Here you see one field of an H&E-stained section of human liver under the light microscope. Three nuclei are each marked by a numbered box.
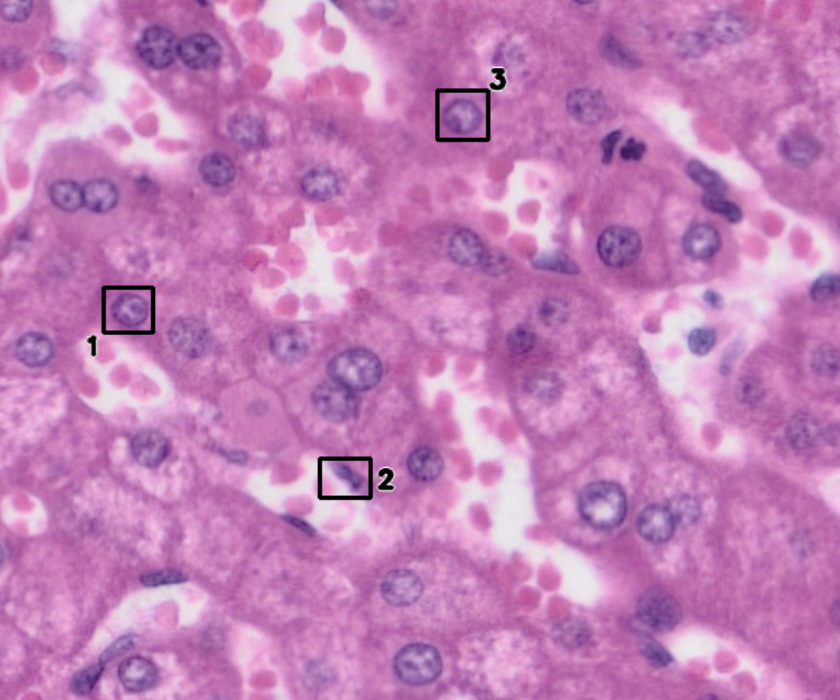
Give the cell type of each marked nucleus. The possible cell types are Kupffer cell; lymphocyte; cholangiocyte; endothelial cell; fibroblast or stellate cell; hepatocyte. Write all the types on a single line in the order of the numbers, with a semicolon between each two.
hepatocyte; endothelial cell; hepatocyte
